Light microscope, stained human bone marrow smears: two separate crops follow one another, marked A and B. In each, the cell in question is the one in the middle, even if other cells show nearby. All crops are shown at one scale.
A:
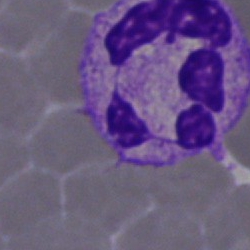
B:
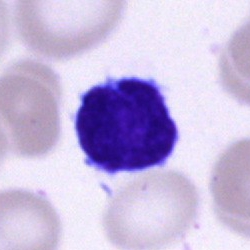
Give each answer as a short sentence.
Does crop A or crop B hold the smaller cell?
Crop A holds the smaller cell, since the cell in crop B covers about 4 times as much area.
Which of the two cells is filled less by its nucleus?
The nucleus fills less of the cell in crop A than in crop B.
